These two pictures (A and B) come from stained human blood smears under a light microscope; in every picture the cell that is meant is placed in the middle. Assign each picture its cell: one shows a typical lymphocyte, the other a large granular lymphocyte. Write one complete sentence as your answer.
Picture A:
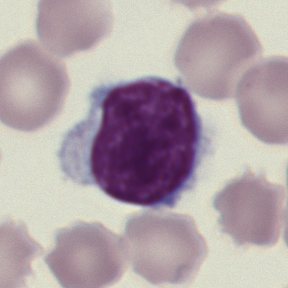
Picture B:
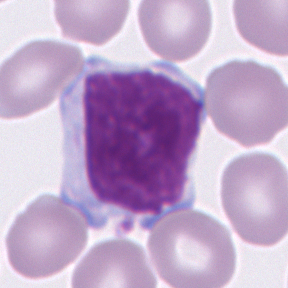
Picture B shows a large granular lymphocyte, while picture A shows a typical lymphocyte.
